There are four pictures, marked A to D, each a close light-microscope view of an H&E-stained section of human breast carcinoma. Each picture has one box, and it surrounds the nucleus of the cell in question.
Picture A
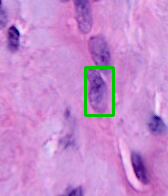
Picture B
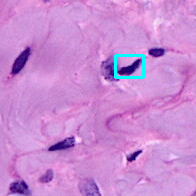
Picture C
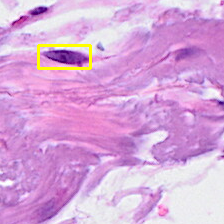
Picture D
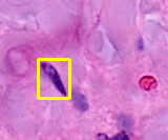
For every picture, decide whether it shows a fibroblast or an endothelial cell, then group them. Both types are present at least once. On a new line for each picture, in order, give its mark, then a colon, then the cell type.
A: endothelial cell
B: fibroblast
C: fibroblast
D: fibroblast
